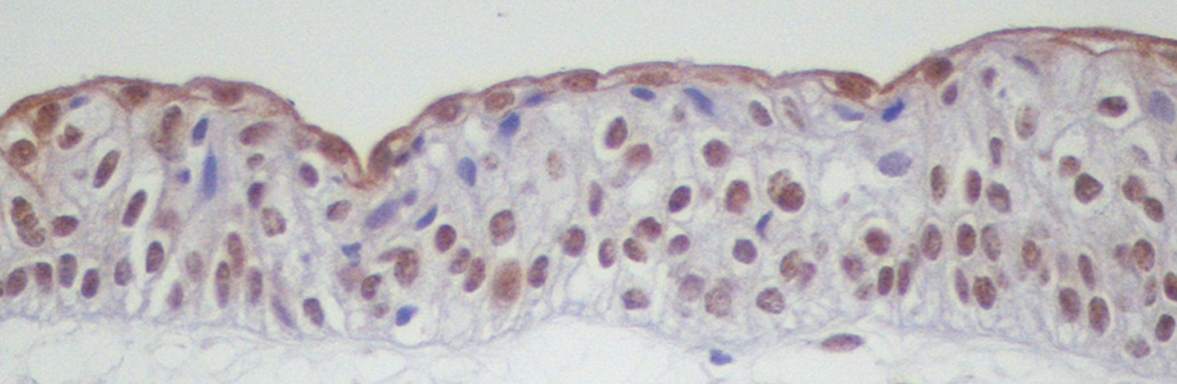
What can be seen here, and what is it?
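Stratified urothelium, several cells thick, with basal, intermediate and superficial umbrella cells over loose underlying tissue. Many nuclei in all layers are stained brown, round to oval, while a scattered minority of nuclei are counterstained blue only. The intensity of the brown nuclear stain varies from cell to cell across the layers. Intermediate cells have pale, finely vacuolated cytoplasm and some nuclei sit in clear halos. The surface is covered by broad, flattened umbrella cells whose cytoplasm forms a continuous brown band in addition to their brown nuclei.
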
